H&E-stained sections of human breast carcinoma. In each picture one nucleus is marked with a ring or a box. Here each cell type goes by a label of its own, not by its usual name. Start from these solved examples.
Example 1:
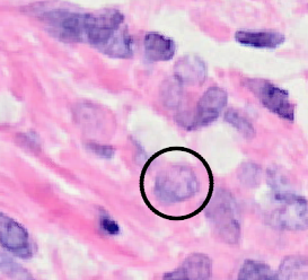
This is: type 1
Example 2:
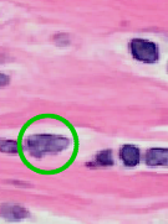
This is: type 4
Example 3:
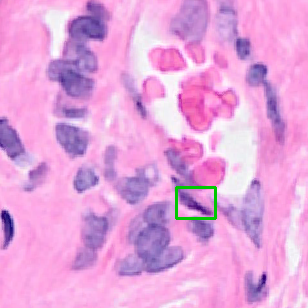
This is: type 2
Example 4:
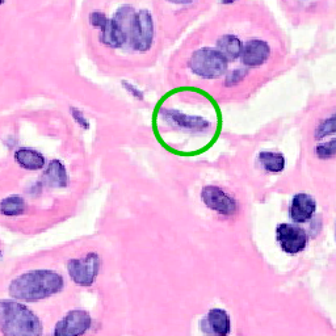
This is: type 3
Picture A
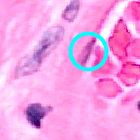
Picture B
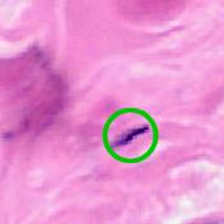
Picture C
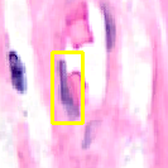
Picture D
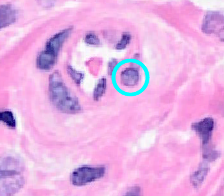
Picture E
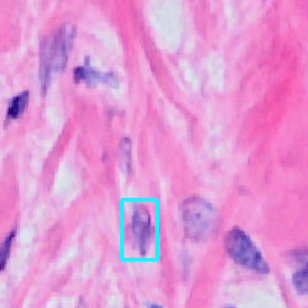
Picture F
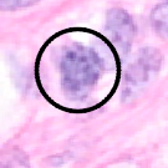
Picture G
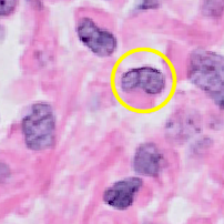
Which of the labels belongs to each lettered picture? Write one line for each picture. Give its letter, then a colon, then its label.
A: type 2
B: type 3
C: type 2
D: type 2
E: type 3
F: type 1
G: type 1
